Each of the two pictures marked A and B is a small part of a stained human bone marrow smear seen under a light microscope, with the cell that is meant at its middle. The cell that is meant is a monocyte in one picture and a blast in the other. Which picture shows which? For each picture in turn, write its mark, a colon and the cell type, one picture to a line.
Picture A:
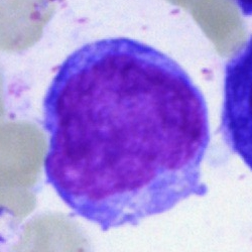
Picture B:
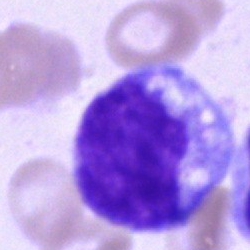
A: blast
B: monocyte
